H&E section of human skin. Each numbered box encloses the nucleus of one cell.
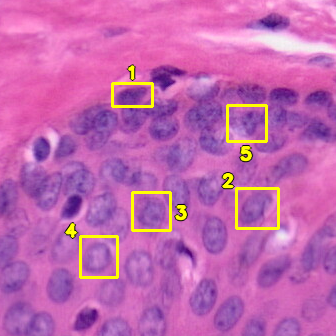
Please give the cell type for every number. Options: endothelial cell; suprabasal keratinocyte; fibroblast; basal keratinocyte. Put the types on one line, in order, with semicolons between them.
basal keratinocyte; basal keratinocyte; suprabasal keratinocyte; suprabasal keratinocyte; basal keratinocyte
